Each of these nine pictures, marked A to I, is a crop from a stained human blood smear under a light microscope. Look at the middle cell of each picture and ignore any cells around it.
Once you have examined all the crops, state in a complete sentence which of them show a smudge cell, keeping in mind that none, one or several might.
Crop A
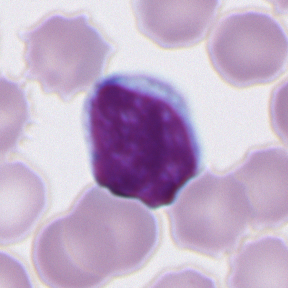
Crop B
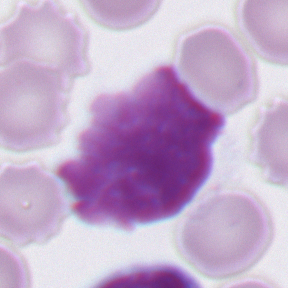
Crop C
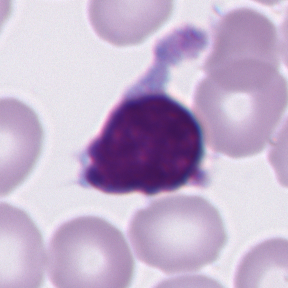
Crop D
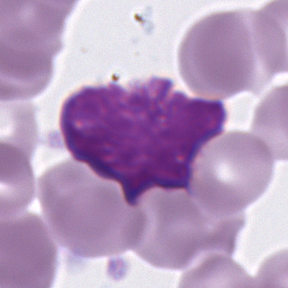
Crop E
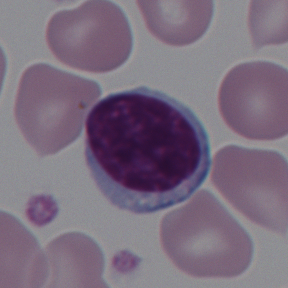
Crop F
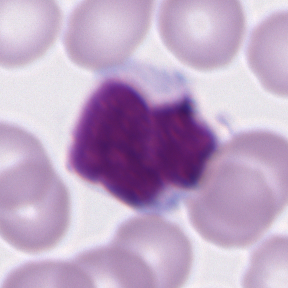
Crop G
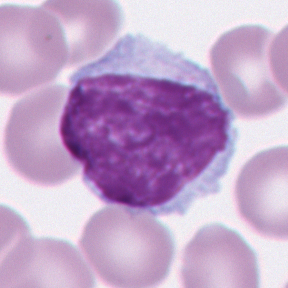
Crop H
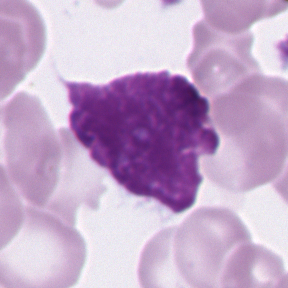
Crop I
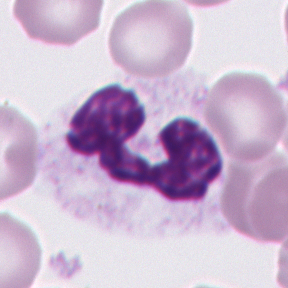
For crops B, D and H, the central cells are smudge cells.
